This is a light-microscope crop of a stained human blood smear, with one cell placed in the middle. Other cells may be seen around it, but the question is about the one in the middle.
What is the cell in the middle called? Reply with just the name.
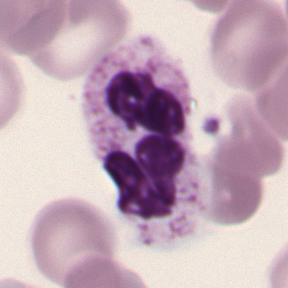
neutrophil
